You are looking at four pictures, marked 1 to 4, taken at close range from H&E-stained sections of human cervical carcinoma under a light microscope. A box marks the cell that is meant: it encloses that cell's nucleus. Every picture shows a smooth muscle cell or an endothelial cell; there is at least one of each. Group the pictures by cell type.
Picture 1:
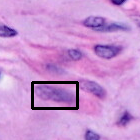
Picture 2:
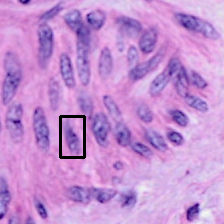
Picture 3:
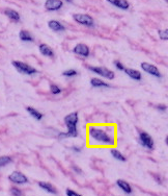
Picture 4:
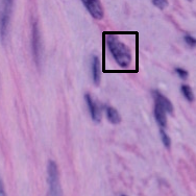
1: smooth muscle cell
2: smooth muscle cell
3: smooth muscle cell
4: endothelial cell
